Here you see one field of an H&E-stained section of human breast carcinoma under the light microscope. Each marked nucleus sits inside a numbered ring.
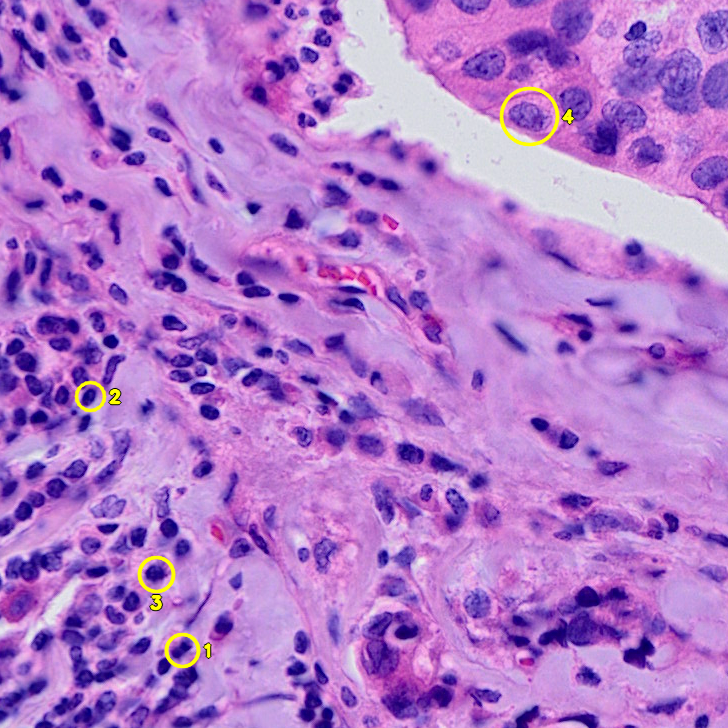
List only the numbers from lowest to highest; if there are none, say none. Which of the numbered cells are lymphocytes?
1, 2, 3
